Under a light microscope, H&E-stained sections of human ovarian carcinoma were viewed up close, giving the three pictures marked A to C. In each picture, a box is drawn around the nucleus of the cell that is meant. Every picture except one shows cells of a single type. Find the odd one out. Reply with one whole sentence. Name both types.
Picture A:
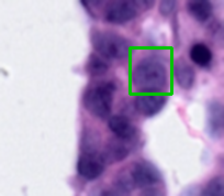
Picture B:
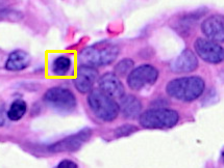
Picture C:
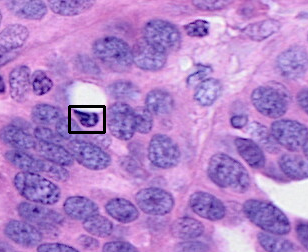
Picture A differs, because its cell is a carcinoma cell and the rest are lymphocytes.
